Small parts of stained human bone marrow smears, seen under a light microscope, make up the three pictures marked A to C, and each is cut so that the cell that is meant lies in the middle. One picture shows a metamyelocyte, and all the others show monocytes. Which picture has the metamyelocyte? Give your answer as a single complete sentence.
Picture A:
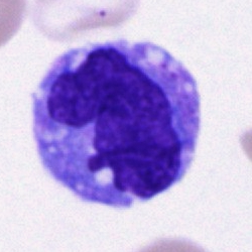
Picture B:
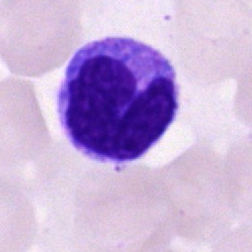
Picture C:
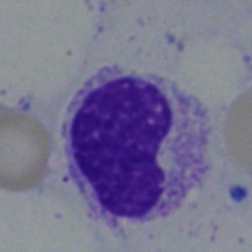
Picture C shows the metamyelocyte.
